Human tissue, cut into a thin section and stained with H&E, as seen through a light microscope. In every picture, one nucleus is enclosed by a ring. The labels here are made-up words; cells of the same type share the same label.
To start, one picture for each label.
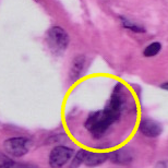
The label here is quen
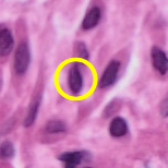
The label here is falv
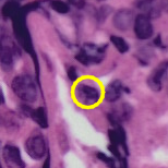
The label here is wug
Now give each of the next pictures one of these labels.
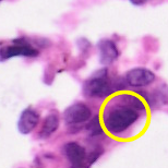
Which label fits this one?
quen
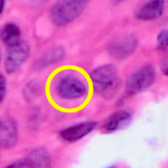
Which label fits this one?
wug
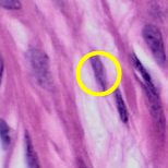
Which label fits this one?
falv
